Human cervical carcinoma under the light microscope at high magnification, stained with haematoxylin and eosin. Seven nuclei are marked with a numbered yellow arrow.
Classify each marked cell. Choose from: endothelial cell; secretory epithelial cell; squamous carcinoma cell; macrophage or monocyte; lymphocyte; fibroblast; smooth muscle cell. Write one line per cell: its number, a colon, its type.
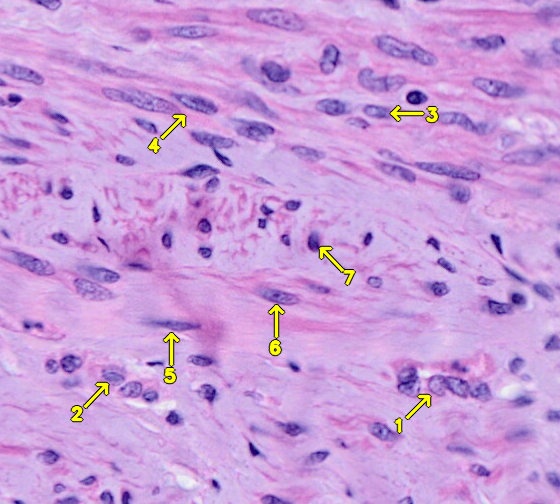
1: endothelial cell
2: endothelial cell
3: smooth muscle cell
4: smooth muscle cell
5: fibroblast
6: smooth muscle cell
7: smooth muscle cell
